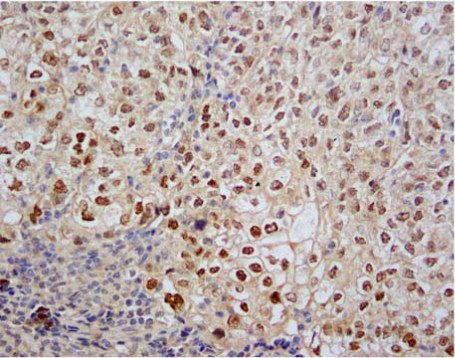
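Most tumour nuclei are enlarged and stained brown, with intensity varying from cell to cell, while the cytoplasm takes only a faint tan tint. At the lower left a band of smaller, crowded cells with blue, unstained nuclei lies beside the tumour.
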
